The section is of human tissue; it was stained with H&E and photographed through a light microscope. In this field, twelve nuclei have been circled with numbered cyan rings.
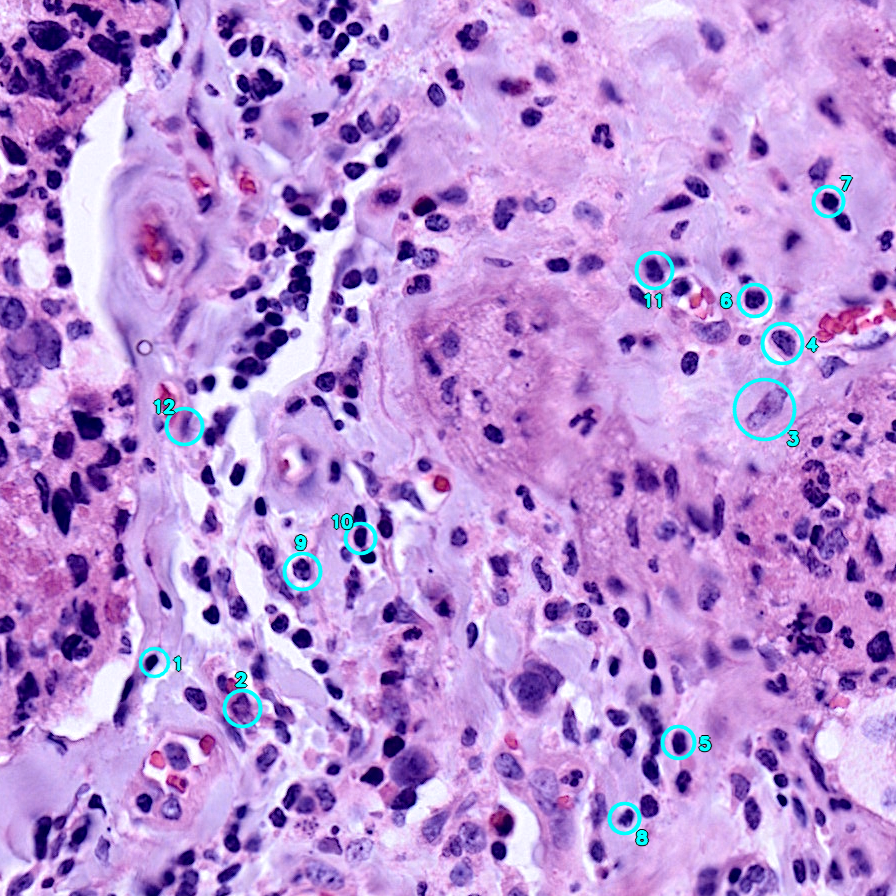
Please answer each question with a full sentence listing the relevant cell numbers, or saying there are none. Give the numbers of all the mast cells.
Cells 4 and 6 are of one type, namely mast cells.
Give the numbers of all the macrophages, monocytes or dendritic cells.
The numbered cells are all of types other than macrophages, monocytes or dendritic cells.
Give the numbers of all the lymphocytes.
The cells that have been numbered 1, 5, 7, 8, 9, 10 and 11 are lymphocytes.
